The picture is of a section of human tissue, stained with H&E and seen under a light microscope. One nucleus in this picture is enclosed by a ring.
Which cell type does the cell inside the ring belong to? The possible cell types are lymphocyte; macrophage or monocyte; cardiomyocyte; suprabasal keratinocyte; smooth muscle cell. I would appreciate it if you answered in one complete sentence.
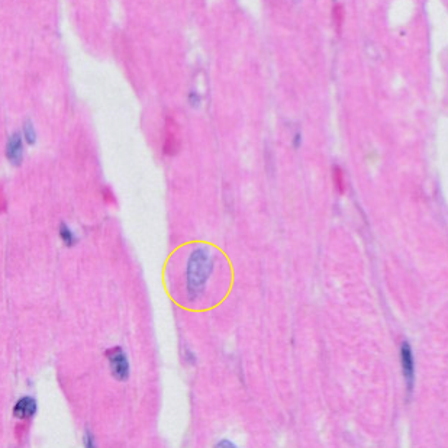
Just put down that the cell inside the ring is a cardiomyocyte.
